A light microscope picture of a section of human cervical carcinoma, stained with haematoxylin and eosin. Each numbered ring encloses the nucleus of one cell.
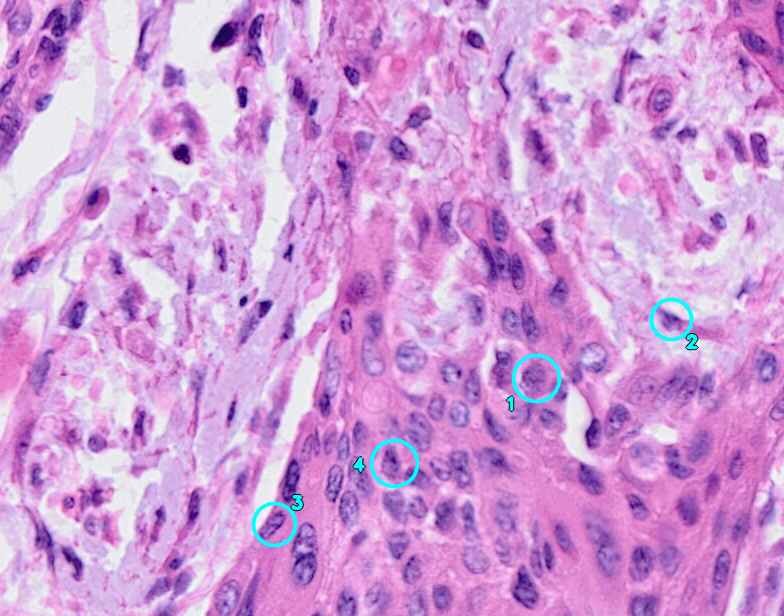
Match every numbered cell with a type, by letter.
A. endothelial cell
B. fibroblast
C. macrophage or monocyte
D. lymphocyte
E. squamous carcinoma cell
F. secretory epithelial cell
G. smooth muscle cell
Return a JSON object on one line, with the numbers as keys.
{"1": "E", "2": "B", "3": "E", "4": "E"}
